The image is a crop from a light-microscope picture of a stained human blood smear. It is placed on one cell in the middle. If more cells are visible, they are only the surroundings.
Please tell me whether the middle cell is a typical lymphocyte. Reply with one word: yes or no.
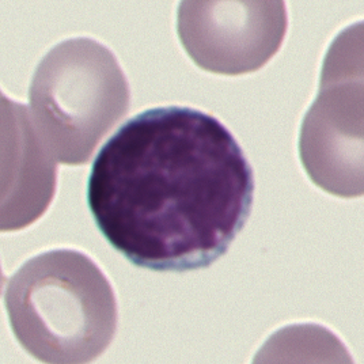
yes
